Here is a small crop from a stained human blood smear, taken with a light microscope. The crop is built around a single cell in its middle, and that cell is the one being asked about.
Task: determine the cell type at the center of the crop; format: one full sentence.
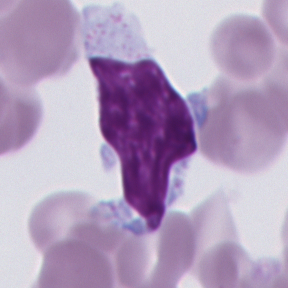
Standing at the centre of this crop is a large granular lymphocyte.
